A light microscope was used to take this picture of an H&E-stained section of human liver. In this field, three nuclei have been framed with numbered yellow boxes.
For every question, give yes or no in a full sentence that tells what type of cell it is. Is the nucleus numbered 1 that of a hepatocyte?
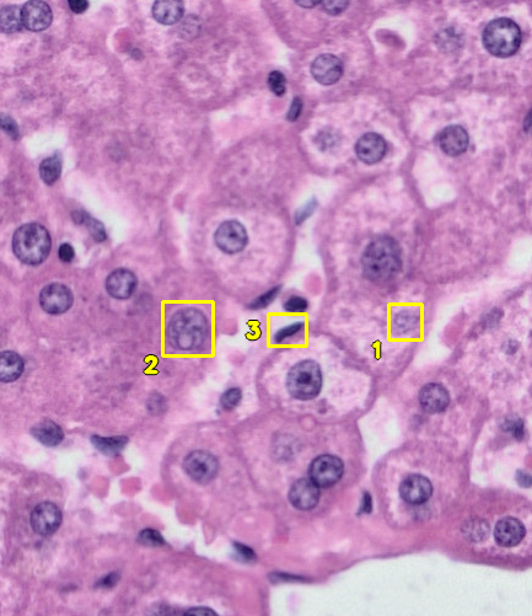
Yes, the cell at marker 1 is a hepatocyte.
